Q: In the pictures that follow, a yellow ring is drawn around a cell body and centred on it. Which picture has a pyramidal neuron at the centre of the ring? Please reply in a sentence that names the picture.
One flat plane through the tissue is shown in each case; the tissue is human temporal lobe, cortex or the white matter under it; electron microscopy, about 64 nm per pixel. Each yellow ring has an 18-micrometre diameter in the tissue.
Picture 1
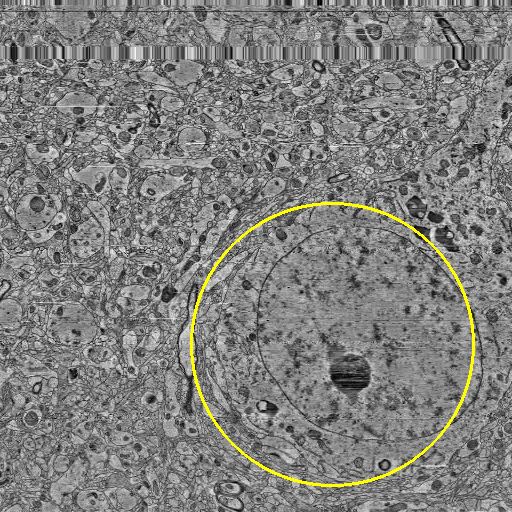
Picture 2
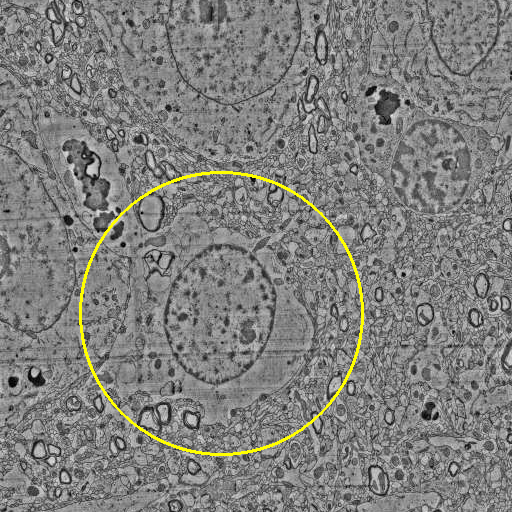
Picture 1 shows it at the centre of its ring.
